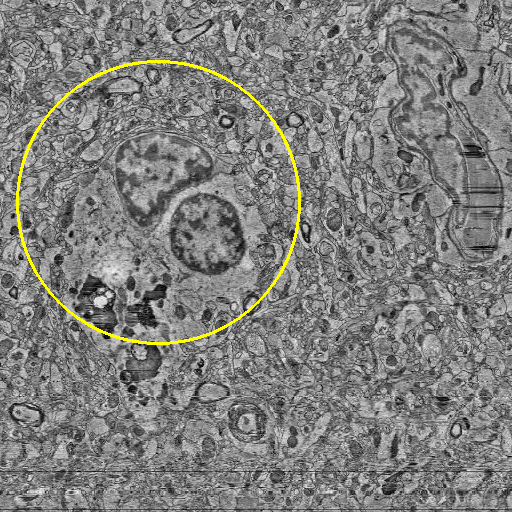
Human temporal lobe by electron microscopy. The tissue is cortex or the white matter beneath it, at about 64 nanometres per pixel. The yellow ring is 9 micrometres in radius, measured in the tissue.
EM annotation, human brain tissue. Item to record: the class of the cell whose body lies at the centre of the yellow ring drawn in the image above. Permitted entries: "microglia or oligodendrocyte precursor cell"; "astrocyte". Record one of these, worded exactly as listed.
microglia or oligodendrocyte precursor cell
